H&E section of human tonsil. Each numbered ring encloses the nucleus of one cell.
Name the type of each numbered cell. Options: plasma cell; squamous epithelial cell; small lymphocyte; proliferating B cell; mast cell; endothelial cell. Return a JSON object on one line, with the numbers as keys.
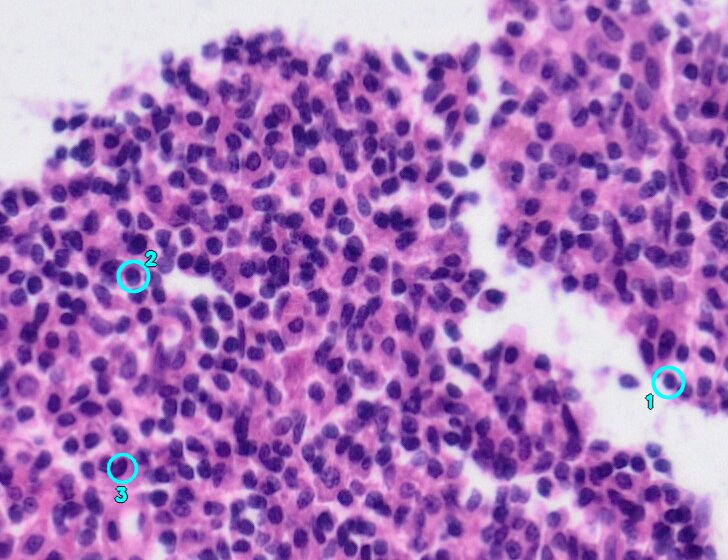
{"1": "small lymphocyte", "2": "small lymphocyte", "3": "plasma cell"}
